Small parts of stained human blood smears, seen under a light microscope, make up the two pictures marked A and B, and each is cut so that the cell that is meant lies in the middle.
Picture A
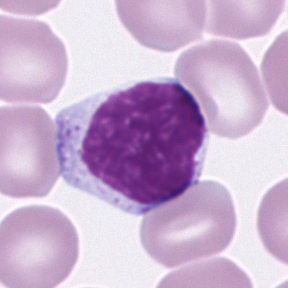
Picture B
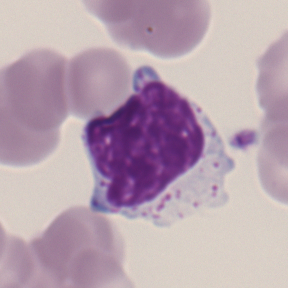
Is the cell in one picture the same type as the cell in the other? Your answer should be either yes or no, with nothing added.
yes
